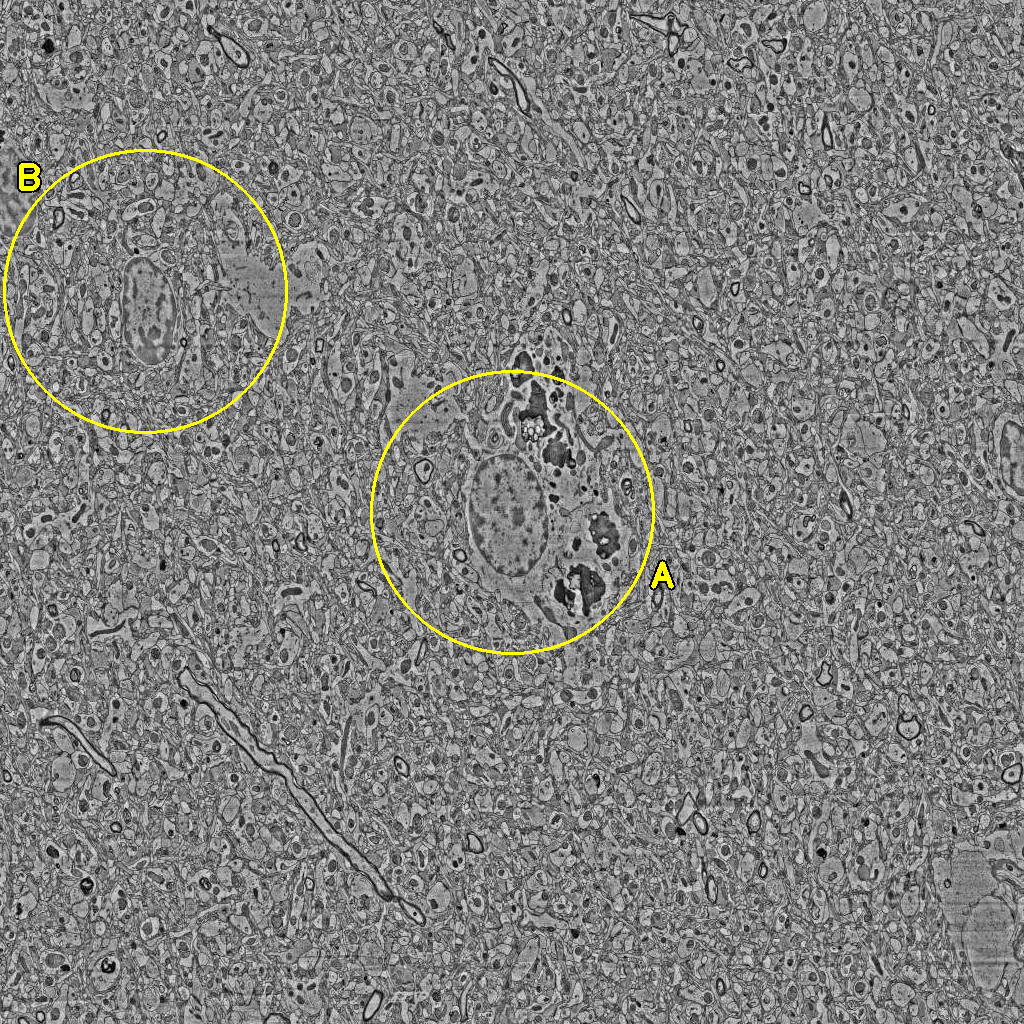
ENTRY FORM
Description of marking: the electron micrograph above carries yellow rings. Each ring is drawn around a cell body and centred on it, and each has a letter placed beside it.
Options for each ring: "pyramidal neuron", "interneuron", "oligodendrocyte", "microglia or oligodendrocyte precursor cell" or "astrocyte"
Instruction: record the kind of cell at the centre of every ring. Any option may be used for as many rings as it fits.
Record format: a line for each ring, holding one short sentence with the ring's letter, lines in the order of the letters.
Ring A surrounds the cell body of an astrocyte.
Ring B surrounds the cell body of a microglial cell or oligodendrocyte precursor cell.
